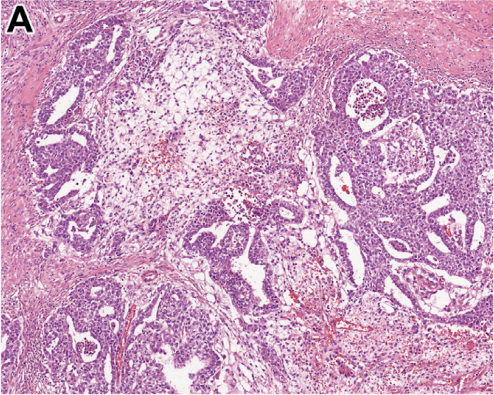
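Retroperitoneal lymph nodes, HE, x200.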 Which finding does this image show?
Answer: Embryonal carcinoma and microcystic yolk sac tumor.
